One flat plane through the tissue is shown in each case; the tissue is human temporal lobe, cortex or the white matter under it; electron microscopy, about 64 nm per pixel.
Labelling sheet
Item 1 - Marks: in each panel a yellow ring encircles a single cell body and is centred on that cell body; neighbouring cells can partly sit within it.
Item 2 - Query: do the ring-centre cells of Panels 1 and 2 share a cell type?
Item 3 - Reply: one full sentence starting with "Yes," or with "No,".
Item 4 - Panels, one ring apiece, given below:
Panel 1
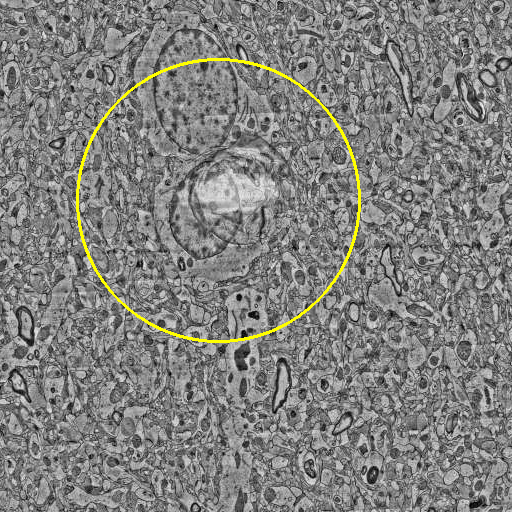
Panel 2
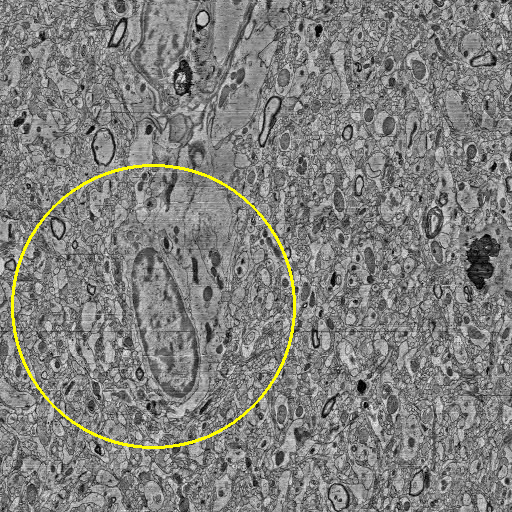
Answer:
No, Panel 1 and Panel 2 show two cell types at the centres of their rings.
